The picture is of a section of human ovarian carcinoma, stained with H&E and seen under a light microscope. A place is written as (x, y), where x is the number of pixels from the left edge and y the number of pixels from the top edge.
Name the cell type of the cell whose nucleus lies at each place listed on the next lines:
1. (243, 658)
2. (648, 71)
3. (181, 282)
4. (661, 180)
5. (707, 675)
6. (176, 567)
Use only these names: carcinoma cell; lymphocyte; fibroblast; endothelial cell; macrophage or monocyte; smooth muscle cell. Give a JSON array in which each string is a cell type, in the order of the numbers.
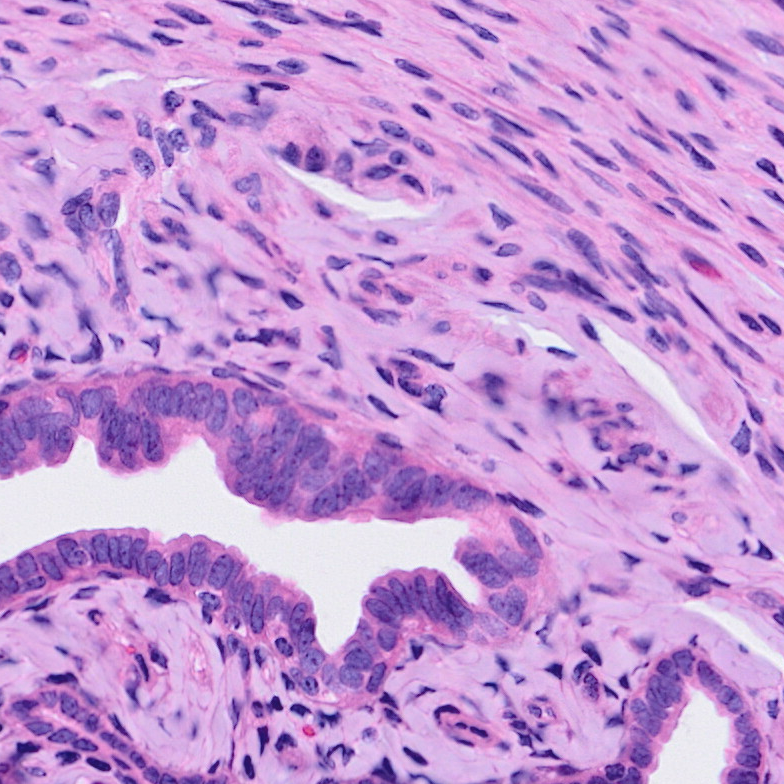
["fibroblast", "smooth muscle cell", "smooth muscle cell", "smooth muscle cell", "carcinoma cell", "carcinoma cell"]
